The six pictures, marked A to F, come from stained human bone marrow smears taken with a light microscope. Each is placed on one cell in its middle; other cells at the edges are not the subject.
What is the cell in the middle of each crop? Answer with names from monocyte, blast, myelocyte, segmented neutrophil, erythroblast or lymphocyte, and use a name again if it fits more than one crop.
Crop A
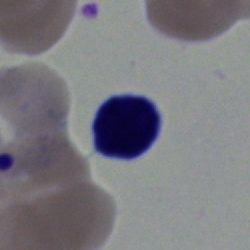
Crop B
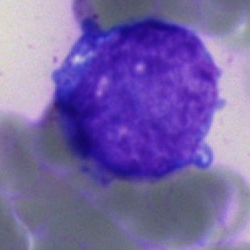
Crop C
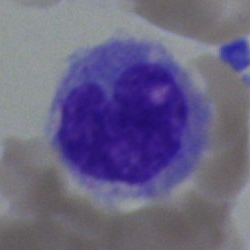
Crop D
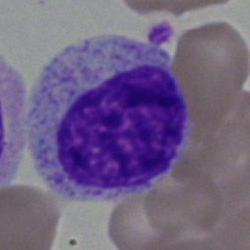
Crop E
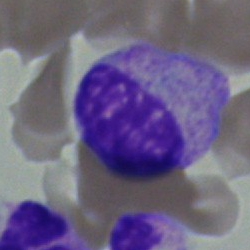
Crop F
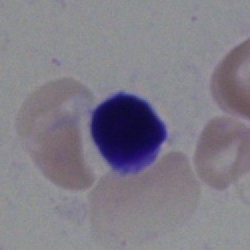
A: lymphocyte
B: blast
C: monocyte
D: myelocyte
E: myelocyte
F: lymphocyte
